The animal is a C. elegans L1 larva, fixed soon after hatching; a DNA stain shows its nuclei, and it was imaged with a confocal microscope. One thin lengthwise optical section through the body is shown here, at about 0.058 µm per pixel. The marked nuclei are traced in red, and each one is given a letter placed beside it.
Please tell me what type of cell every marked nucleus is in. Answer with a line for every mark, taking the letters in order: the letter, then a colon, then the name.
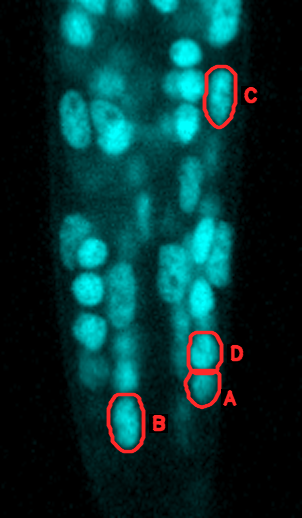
A: hypodermal cell (hyp)
B: pharyngeal epithelial cell
C: hypodermal cell (hyp)
D: hypodermal cell (hyp)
